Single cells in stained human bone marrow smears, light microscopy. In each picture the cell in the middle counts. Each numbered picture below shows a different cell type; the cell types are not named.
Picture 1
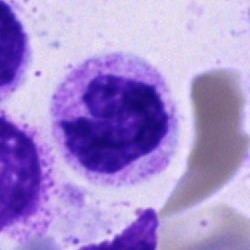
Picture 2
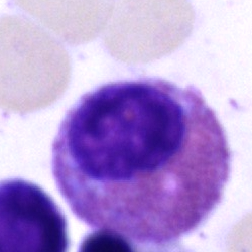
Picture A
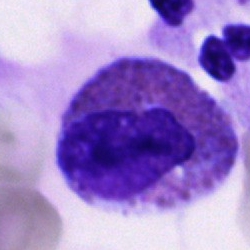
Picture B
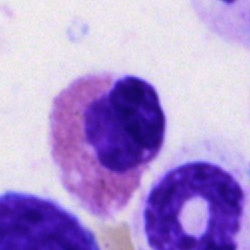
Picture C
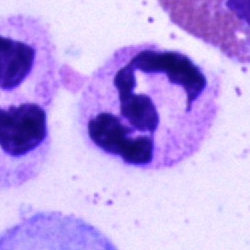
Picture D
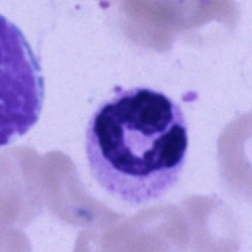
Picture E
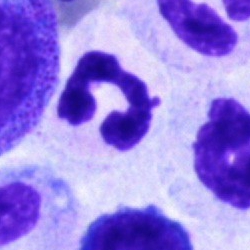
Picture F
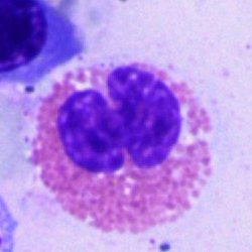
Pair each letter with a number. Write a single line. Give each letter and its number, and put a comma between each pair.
A 2, B 2, C 1, D 1, E 1, F 2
